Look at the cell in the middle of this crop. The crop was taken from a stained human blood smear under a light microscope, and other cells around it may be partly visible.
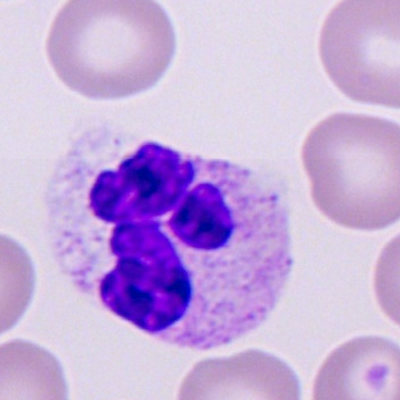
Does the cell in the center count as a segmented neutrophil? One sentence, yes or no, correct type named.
Yes, the cell of interest in the centre is a segmented neutrophil.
